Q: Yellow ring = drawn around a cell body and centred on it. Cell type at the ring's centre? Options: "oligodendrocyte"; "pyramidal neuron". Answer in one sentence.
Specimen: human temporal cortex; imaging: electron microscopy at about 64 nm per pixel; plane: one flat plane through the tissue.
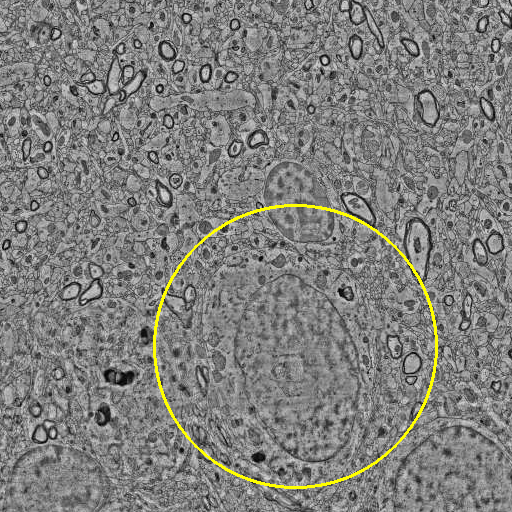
Centred in the ring is a pyramidal neuron.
